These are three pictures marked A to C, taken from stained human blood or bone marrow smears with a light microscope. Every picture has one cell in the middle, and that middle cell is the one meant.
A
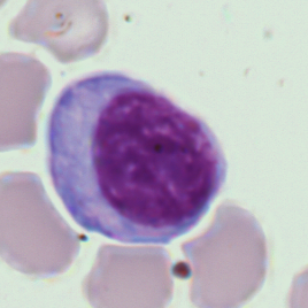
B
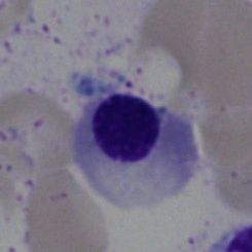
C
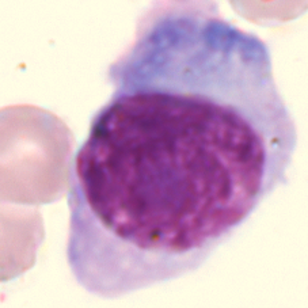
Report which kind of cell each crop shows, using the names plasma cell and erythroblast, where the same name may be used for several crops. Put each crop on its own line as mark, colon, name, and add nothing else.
A: plasma cell
B: erythroblast
C: plasma cell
